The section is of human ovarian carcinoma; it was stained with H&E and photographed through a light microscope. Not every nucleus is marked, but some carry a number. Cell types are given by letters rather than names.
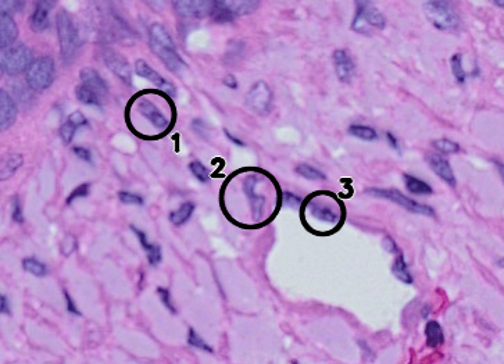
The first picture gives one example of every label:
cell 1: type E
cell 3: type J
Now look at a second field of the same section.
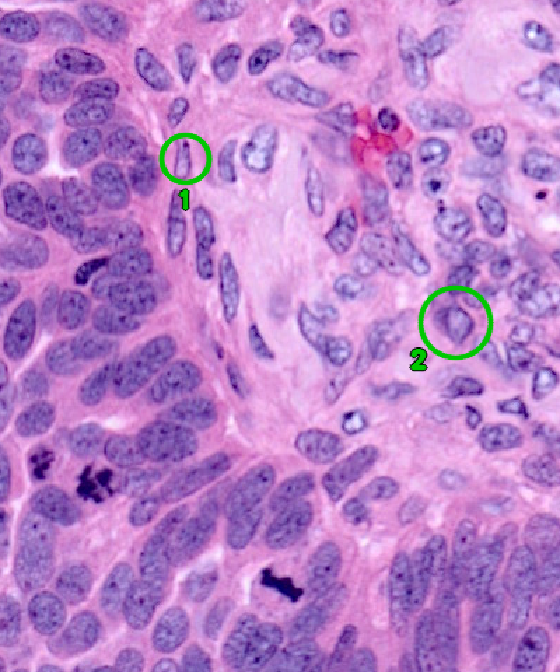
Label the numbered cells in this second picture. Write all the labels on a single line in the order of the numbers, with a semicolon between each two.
type E; type J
